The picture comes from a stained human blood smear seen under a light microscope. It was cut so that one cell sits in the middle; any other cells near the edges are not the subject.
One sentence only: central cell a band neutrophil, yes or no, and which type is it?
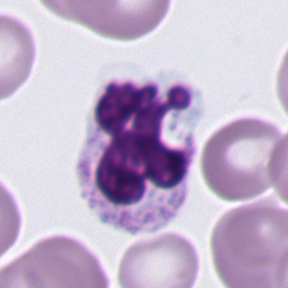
No, the central cell does not represent a band neutrophil, but a segmented neutrophil.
